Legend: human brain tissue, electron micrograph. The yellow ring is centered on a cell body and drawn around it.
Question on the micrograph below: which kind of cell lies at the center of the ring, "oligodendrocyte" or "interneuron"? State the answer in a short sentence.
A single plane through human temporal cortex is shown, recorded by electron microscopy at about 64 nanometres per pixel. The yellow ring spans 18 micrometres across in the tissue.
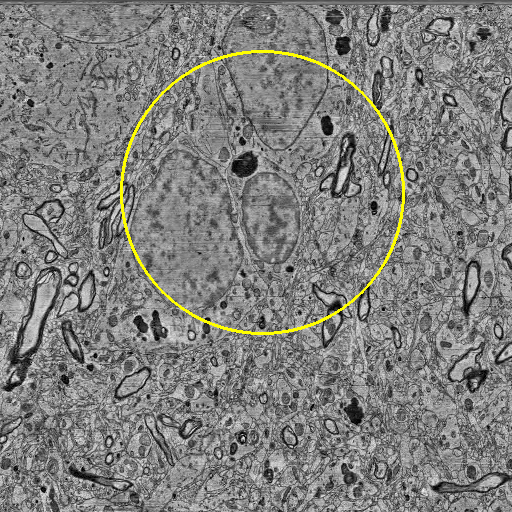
At the center of the ring lies an oligodendrocyte.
